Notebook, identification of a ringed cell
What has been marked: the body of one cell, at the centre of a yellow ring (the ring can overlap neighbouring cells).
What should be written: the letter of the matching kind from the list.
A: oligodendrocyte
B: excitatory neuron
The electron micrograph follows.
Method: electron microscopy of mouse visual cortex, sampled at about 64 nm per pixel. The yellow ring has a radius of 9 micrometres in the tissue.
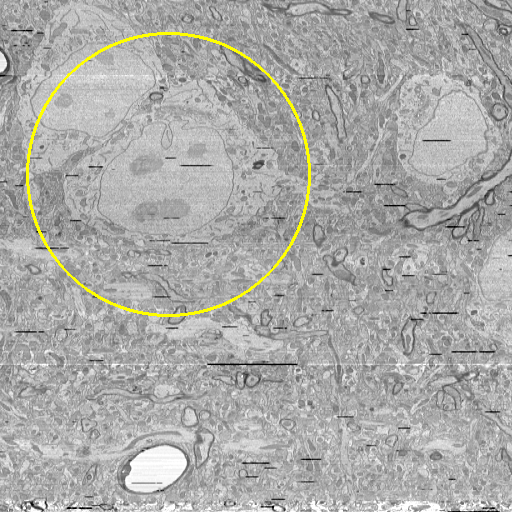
B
